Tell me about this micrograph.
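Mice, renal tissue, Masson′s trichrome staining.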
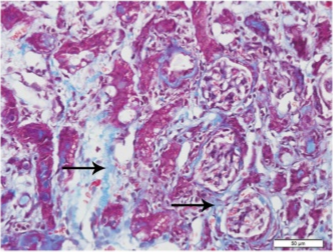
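Kidney cortex with red-staining tubules and a few glomeruli, separated by broad bands of blue-staining fibrous tissue. The blue material is concentrated in the interstitium and around the glomeruli, spreading the tubules apart. Many tubules appear shrunken and irregular, with scattered nuclei in the expanded interstitium.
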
